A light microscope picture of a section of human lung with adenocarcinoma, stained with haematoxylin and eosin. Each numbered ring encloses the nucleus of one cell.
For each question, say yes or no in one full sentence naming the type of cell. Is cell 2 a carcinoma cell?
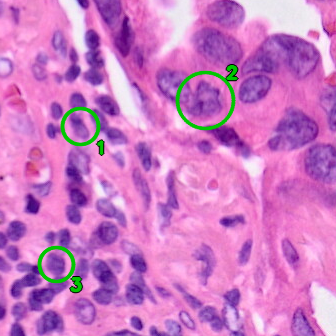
Yes, the cell that the number 2 labels is a carcinoma cell.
